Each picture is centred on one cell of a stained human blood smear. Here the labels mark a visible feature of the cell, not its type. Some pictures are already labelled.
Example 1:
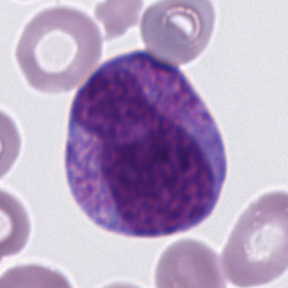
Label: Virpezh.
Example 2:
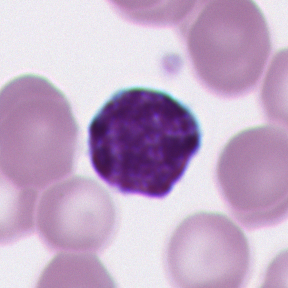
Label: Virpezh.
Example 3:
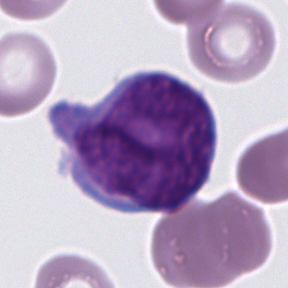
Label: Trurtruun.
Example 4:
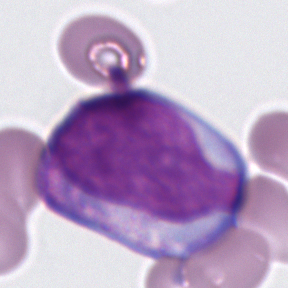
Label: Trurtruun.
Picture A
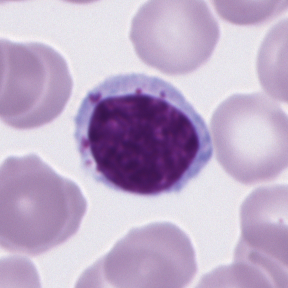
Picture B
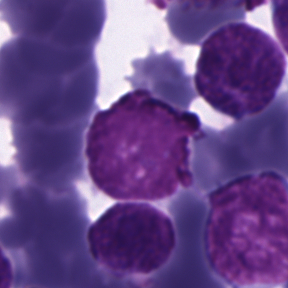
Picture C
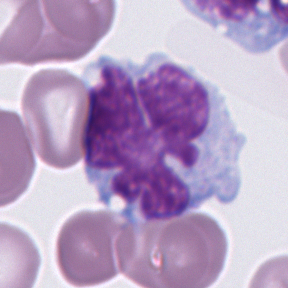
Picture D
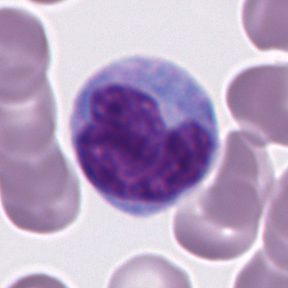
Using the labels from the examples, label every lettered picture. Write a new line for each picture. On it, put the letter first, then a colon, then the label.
A: Trurtruun.
B: Trurtruun.
C: Trurtruun.
D: Virpezh.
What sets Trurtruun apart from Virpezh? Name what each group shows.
Trurtruun: ragged outline or projections; Virpezh: smooth outline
